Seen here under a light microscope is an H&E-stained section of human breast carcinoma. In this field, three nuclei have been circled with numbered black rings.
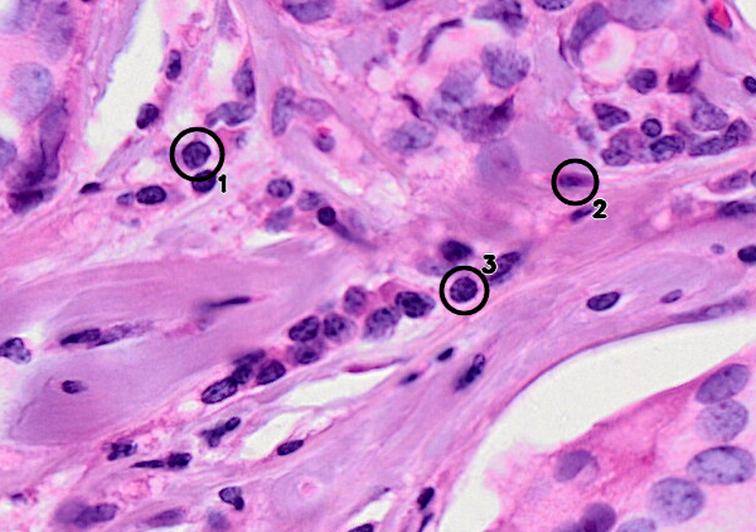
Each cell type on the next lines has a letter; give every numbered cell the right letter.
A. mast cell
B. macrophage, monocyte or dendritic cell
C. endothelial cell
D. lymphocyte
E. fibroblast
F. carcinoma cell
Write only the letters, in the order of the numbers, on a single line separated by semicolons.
D; A; D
